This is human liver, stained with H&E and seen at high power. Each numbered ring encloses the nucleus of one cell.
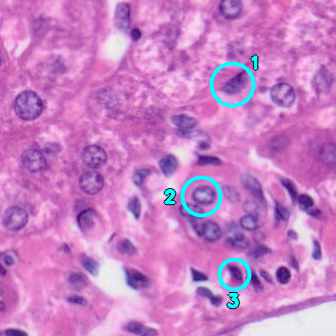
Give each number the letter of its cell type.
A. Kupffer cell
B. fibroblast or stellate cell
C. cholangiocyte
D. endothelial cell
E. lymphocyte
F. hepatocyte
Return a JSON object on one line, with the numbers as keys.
{"1": "B", "2": "C", "3": "B"}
